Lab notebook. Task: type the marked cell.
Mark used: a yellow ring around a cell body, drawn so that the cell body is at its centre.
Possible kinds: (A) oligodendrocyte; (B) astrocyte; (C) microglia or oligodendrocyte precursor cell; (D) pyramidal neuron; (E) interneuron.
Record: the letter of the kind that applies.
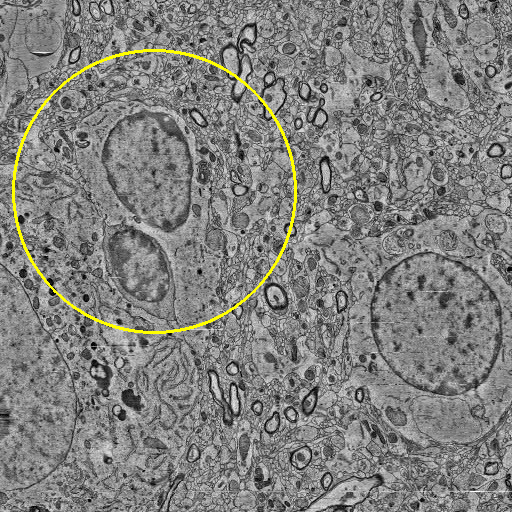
C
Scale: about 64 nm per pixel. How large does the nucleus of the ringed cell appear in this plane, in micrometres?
Approximately 8 x 5 micrometres in this plane.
